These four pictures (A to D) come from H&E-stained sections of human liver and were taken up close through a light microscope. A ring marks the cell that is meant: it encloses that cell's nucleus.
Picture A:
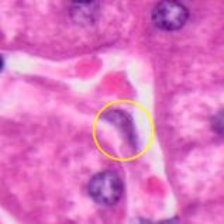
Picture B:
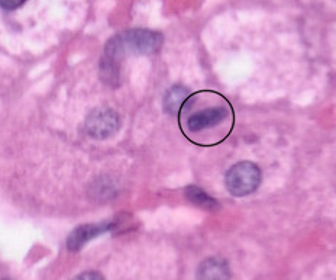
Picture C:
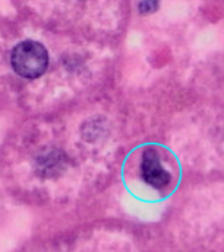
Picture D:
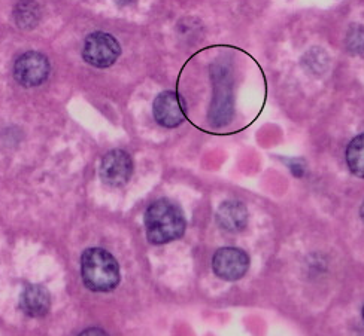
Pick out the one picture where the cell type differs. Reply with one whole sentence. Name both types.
All pictures except B show Kupffer cells; picture B shows a “fibroblast or stellate cell”.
